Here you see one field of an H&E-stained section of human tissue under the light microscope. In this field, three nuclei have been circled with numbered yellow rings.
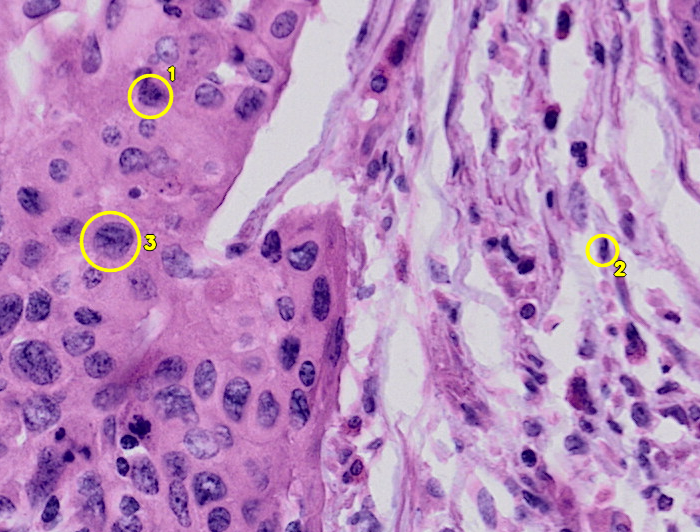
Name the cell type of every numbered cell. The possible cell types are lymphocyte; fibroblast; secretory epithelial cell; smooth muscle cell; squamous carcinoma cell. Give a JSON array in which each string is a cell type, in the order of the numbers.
["squamous carcinoma cell", "fibroblast", "squamous carcinoma cell"]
